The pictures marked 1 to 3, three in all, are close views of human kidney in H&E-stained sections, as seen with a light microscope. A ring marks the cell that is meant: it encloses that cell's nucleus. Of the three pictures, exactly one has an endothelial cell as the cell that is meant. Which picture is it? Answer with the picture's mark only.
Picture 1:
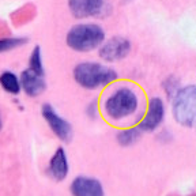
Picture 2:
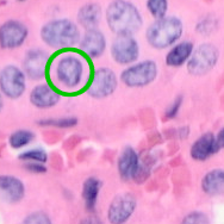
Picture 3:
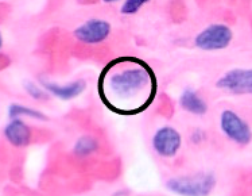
3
